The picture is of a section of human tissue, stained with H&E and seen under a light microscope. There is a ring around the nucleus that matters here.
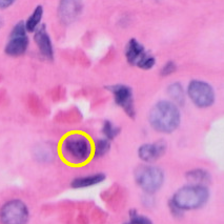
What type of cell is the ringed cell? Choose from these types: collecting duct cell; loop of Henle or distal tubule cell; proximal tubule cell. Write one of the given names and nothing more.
proximal tubule cell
